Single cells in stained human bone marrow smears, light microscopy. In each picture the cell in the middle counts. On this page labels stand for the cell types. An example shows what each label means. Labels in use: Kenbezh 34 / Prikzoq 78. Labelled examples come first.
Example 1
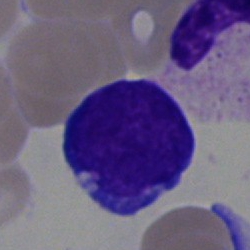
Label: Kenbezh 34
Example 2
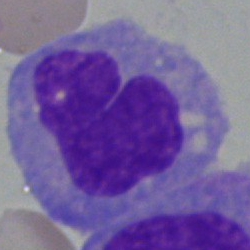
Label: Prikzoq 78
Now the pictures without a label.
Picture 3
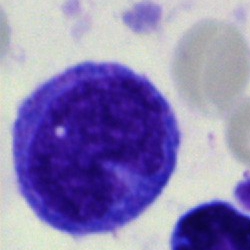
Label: Prikzoq 78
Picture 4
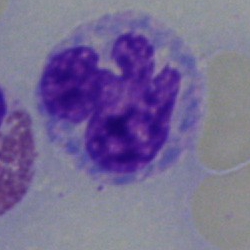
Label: Prikzoq 78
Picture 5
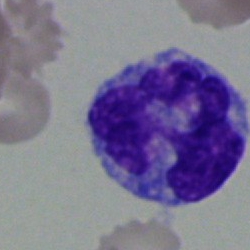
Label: Prikzoq 78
